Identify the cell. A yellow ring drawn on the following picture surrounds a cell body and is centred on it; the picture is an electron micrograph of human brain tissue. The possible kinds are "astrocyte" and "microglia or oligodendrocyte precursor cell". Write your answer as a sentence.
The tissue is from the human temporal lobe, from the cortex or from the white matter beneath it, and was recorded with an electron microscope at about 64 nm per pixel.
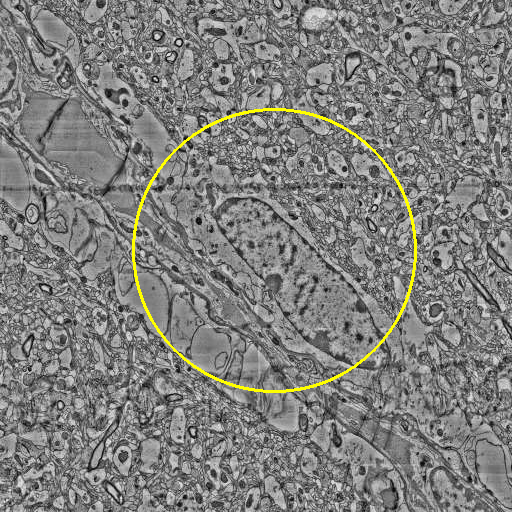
The cell identified by the ring is a microglial cell or oligodendrocyte precursor cell.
